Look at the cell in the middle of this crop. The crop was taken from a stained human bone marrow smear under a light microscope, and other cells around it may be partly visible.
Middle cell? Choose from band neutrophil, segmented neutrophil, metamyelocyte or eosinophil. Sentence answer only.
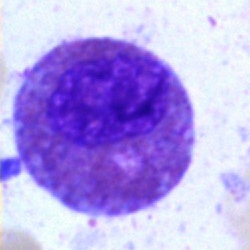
The centrally placed cell is classified as an eosinophil.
